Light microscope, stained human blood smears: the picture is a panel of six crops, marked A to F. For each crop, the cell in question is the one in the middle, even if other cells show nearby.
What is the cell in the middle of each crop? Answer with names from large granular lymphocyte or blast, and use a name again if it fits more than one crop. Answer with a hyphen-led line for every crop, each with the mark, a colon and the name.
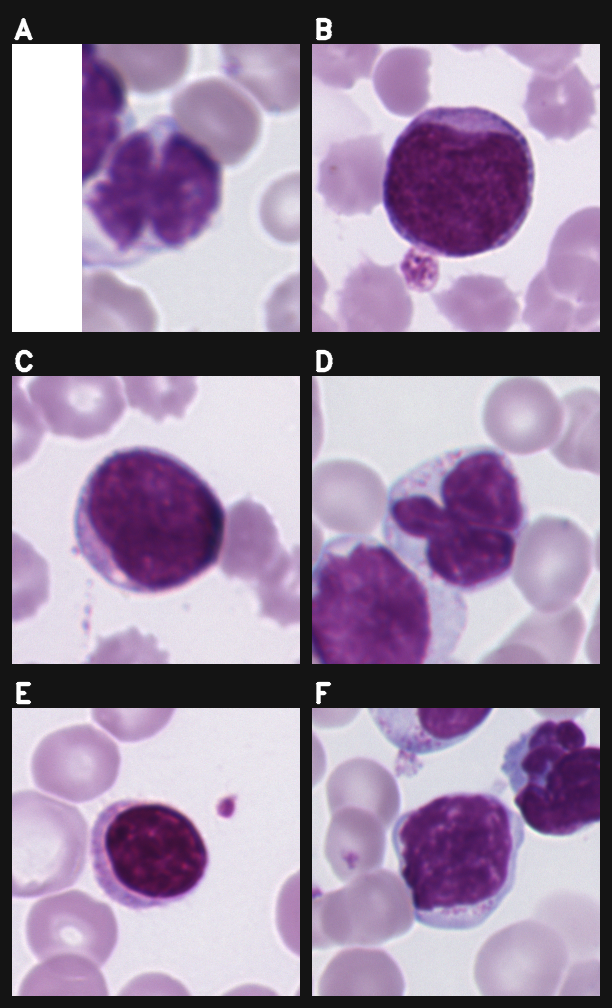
- A: large granular lymphocyte
- B: blast
- C: blast
- D: large granular lymphocyte
- E: large granular lymphocyte
- F: large granular lymphocyte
